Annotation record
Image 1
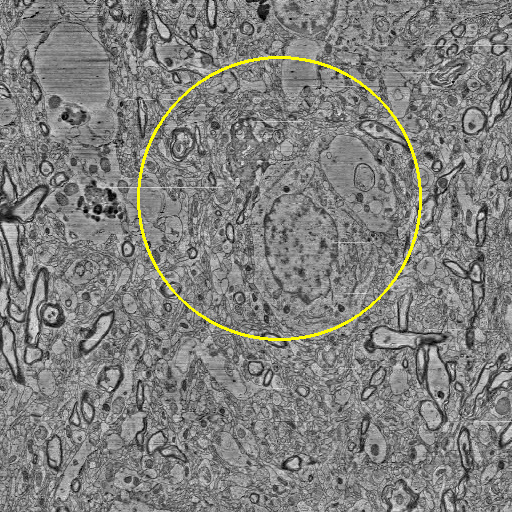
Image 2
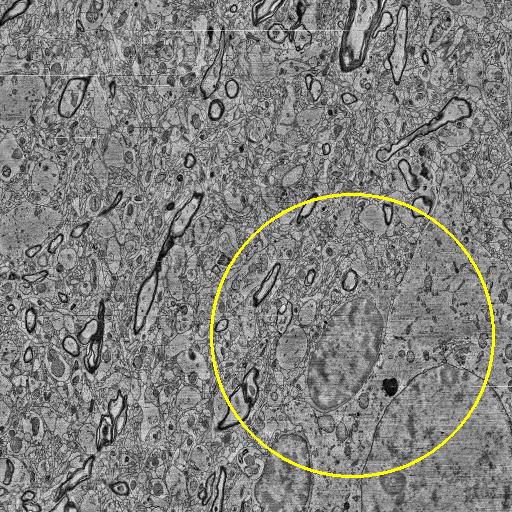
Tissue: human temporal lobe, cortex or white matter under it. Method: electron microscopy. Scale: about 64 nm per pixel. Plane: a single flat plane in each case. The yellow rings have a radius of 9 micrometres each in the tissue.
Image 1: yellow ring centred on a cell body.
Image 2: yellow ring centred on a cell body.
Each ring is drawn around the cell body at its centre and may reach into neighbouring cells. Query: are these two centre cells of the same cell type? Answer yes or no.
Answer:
no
